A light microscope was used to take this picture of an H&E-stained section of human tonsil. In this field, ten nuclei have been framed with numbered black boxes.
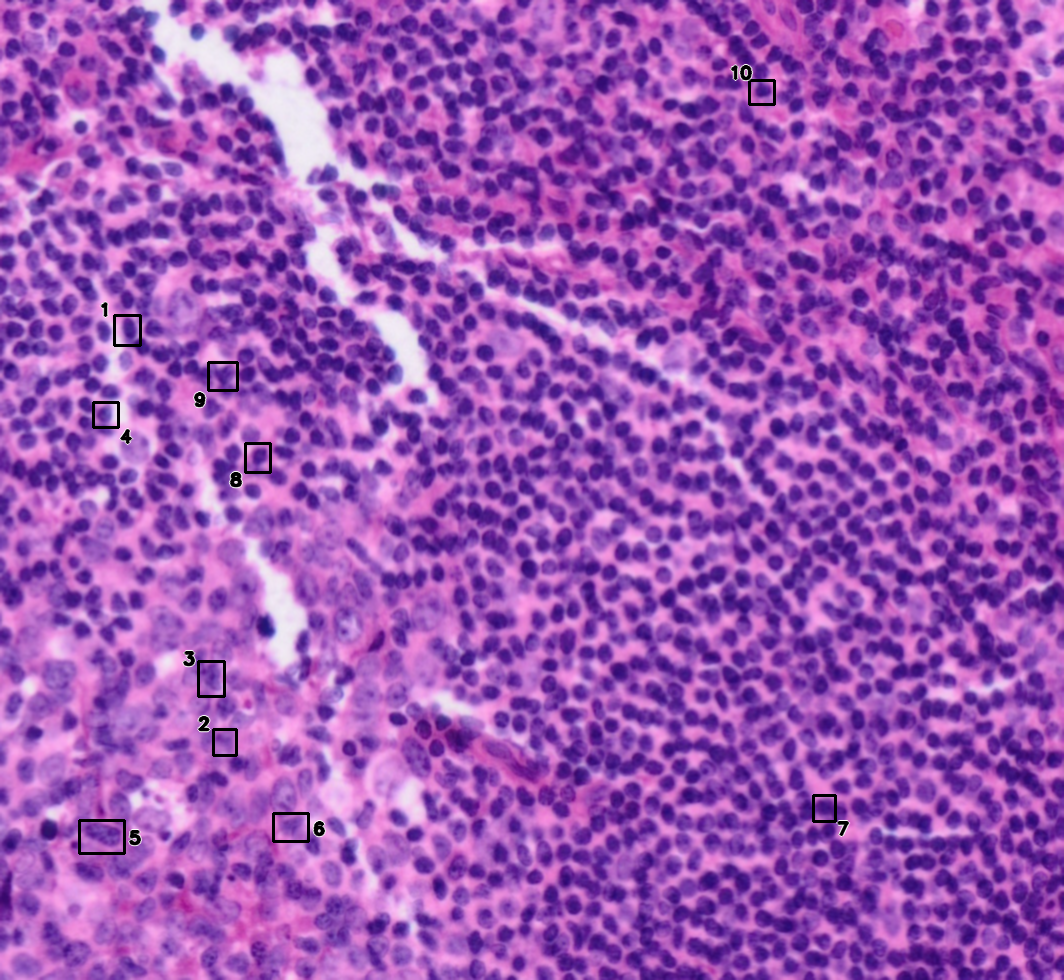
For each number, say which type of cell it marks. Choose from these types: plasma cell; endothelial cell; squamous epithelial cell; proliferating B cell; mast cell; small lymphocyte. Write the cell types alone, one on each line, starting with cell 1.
small lymphocyte
proliferating B cell
proliferating B cell
small lymphocyte
proliferating B cell
proliferating B cell
small lymphocyte
small lymphocyte
small lymphocyte
small lymphocyte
